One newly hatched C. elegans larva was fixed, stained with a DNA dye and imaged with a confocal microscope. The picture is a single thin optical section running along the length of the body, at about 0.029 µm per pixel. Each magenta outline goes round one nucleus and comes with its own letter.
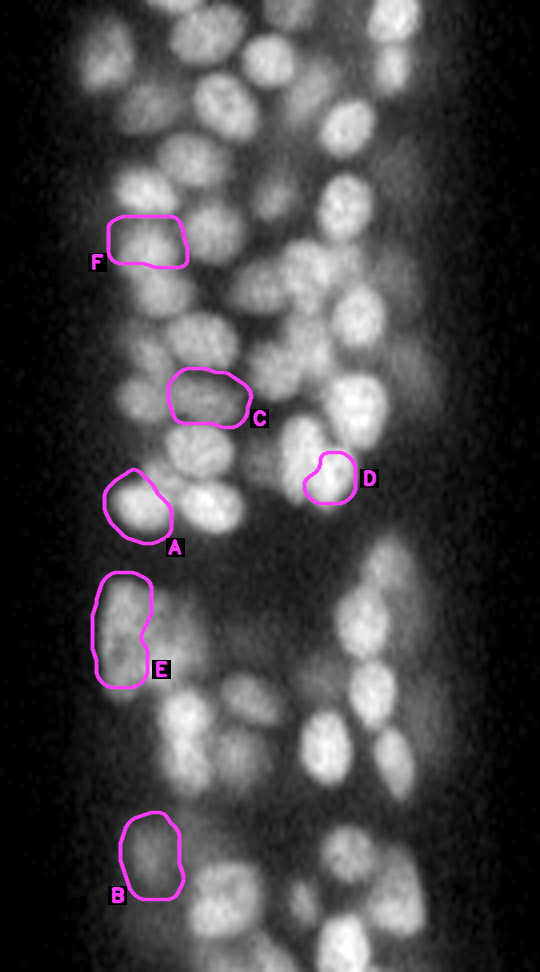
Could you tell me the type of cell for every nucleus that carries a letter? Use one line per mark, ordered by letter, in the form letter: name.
A: neuron
B: hypodermal cell (hyp)
C: neuron
D: GLR cell
E: body wall muscle cell
F: neuron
